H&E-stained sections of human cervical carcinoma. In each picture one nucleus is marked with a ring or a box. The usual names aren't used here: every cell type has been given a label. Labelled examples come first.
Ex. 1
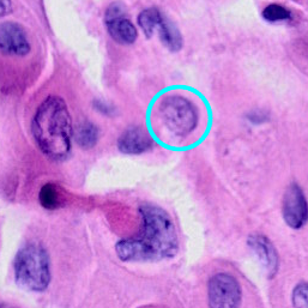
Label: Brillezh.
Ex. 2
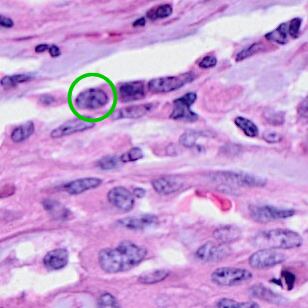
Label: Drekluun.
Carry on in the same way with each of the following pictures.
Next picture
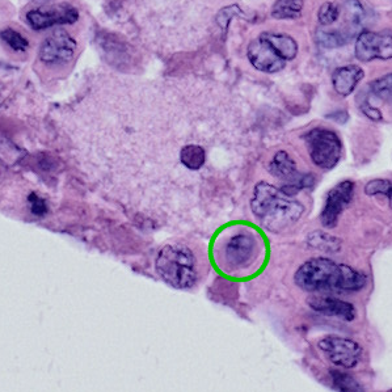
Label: Brillezh.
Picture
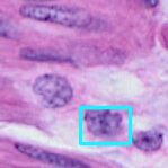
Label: Drekluun.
